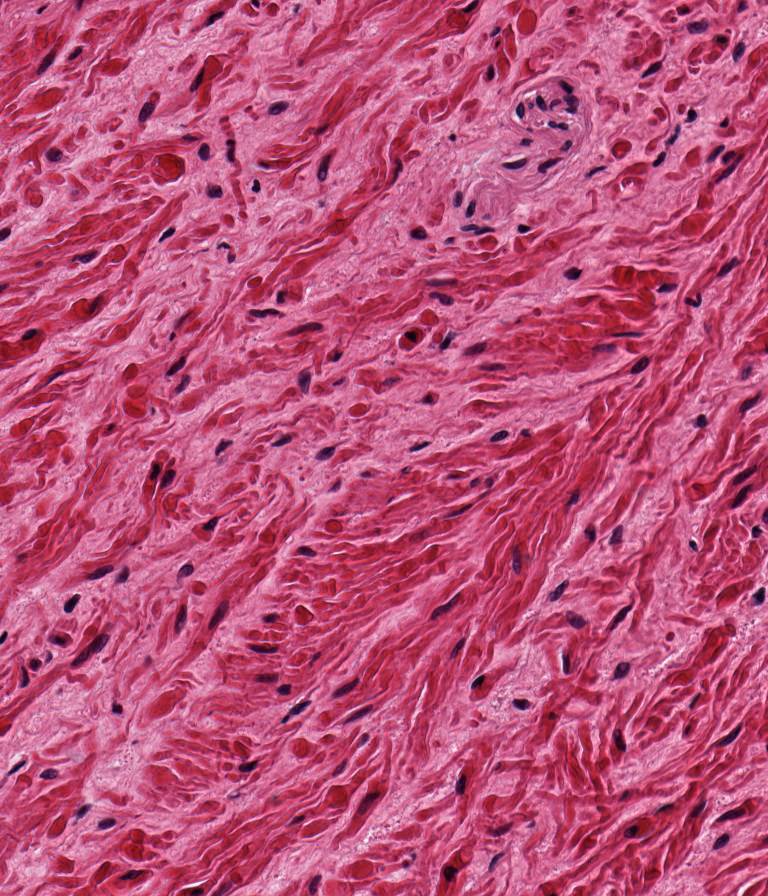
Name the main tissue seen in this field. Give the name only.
fibromuscular stroma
